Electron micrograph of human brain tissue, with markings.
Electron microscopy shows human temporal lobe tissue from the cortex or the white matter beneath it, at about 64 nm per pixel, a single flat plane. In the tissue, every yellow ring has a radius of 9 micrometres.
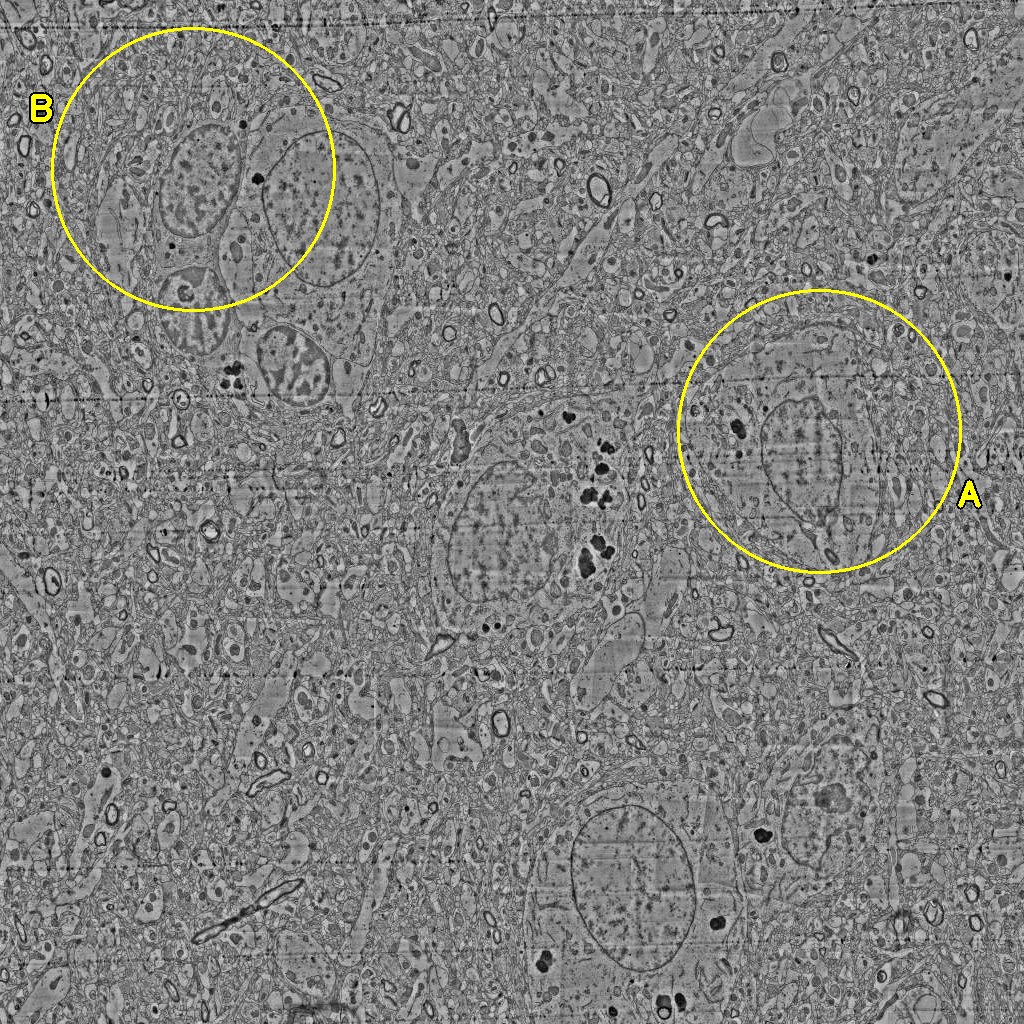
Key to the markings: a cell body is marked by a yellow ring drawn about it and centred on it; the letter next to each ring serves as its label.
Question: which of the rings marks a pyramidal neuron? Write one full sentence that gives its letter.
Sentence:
In this picture, the ring marking that kind of cell has the letter A.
